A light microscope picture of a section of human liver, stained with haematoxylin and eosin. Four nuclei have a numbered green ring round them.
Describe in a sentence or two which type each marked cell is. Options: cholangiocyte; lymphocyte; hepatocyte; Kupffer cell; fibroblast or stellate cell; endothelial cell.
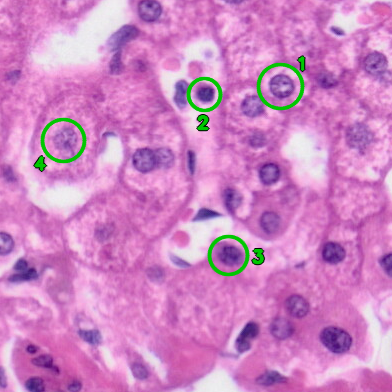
Cells 1 and 4 are hepatocytes. Cell 2 is a lymphocyte. Cell 3 is a Kupffer cell.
